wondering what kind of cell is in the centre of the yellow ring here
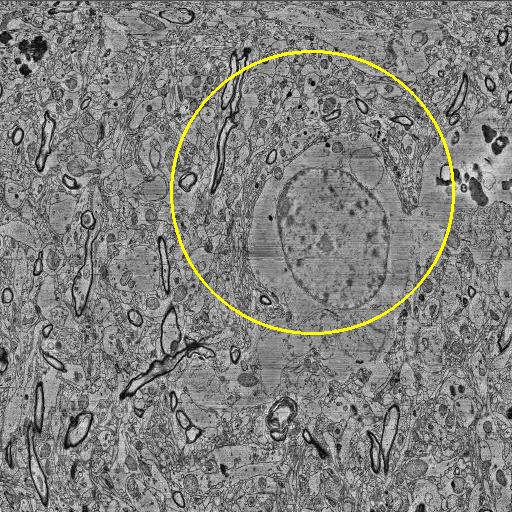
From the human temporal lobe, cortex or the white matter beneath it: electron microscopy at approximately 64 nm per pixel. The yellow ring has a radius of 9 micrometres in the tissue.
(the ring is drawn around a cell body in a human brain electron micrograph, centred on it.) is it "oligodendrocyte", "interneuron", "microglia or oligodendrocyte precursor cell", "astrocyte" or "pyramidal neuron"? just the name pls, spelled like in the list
astrocyte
